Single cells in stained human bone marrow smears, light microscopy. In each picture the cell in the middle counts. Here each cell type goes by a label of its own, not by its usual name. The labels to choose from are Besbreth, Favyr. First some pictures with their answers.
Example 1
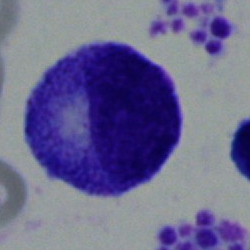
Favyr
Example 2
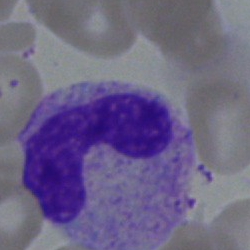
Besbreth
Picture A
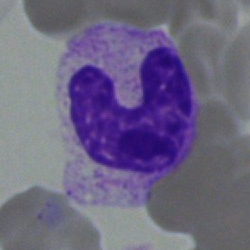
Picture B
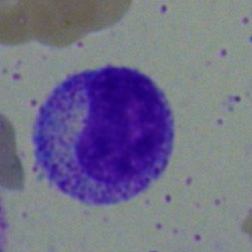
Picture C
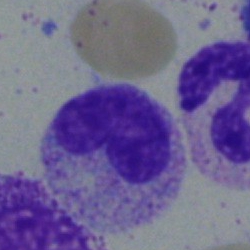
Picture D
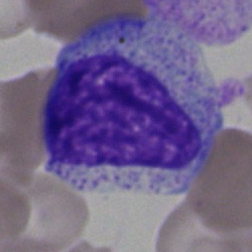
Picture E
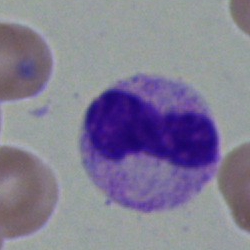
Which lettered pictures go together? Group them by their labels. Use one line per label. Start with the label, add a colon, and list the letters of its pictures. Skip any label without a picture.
Besbreth: A, C, E
Favyr: B, D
